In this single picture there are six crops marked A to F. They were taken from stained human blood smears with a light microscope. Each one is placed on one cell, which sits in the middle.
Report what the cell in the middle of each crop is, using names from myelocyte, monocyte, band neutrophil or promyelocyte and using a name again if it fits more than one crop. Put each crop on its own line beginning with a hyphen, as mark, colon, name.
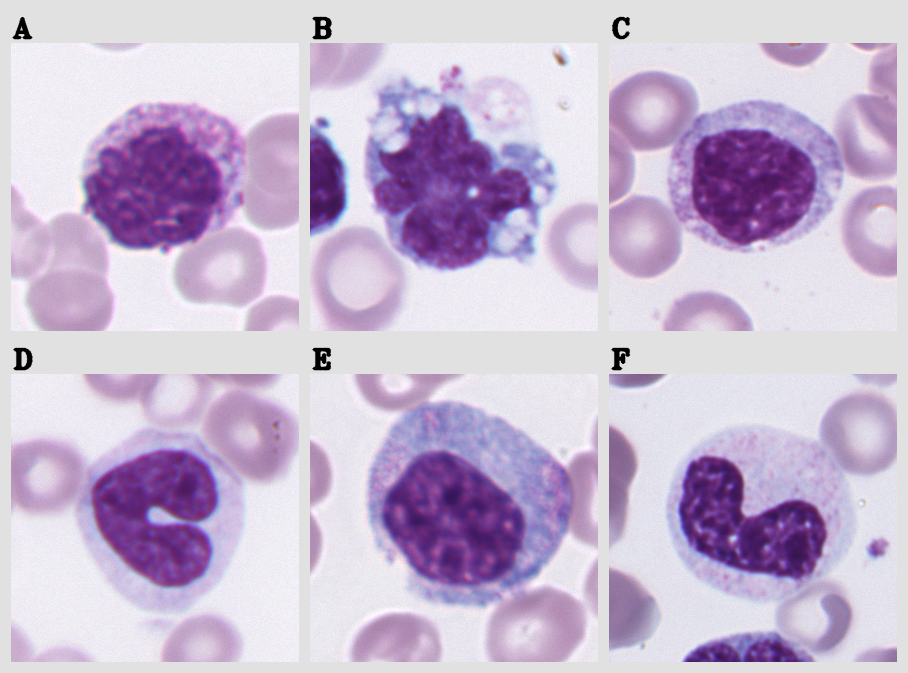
- A: band neutrophil
- B: monocyte
- C: myelocyte
- D: band neutrophil
- E: promyelocyte
- F: band neutrophil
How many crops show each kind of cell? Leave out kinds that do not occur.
band neutrophil: 3
monocyte: 1
myelocyte: 1
promyelocyte: 1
